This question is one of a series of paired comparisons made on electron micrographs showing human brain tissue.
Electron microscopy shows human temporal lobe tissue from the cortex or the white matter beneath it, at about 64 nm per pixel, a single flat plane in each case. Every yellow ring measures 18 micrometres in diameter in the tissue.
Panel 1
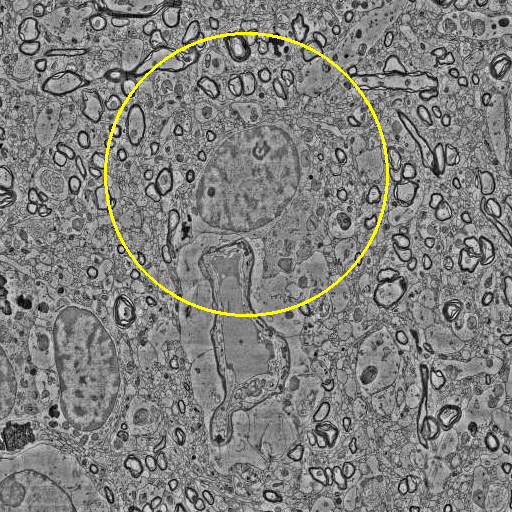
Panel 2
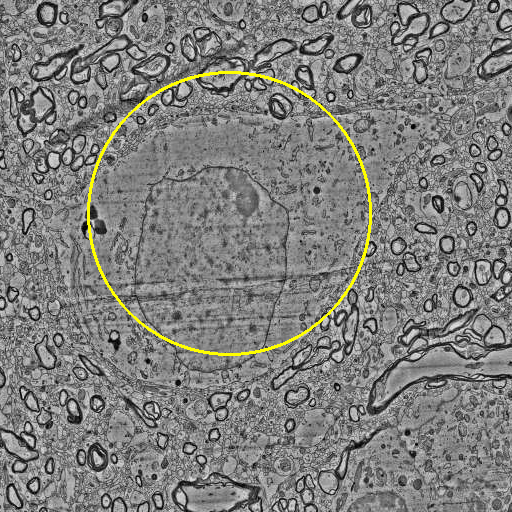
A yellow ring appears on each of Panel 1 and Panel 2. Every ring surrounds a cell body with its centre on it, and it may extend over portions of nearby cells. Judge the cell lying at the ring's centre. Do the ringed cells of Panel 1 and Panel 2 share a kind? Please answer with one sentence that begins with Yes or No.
No, the ring-centre cell in Panel 1 and the one in Panel 2 are of two kinds.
